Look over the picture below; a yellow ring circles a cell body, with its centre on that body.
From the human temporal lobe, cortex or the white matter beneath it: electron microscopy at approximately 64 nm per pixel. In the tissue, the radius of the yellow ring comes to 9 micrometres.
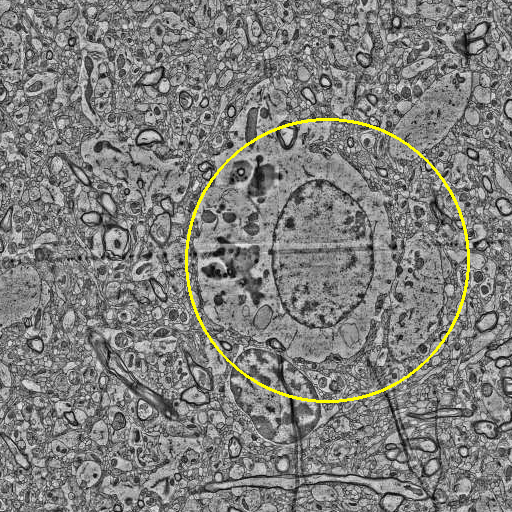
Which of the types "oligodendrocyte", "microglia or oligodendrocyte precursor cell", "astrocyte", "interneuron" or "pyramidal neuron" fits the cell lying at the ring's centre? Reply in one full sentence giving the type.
The picture shows an astrocyte at the centre of the yellow ring.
